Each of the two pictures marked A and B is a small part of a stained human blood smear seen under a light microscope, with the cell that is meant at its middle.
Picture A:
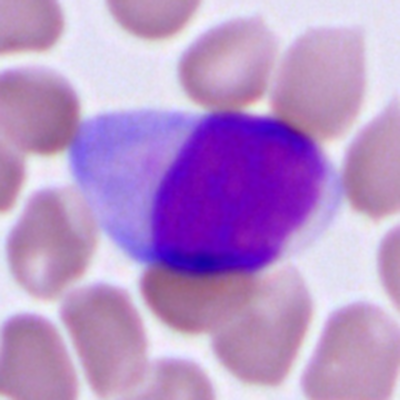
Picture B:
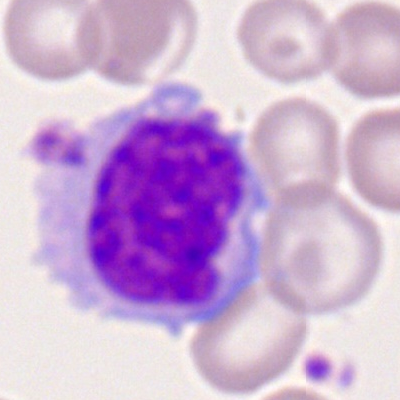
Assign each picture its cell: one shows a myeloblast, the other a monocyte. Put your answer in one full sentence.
In picture A the cell is a myeloblast; in picture B, a monocyte.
